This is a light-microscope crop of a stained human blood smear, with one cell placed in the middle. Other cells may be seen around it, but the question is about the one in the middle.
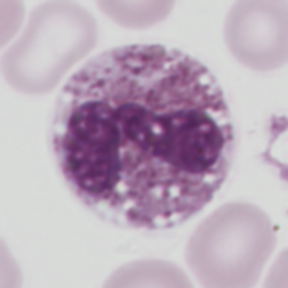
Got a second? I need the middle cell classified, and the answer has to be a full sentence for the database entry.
For this crop, the cell in the middle is an eosinophil.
